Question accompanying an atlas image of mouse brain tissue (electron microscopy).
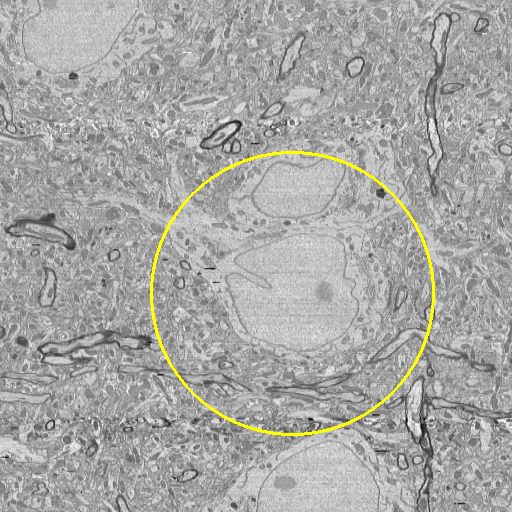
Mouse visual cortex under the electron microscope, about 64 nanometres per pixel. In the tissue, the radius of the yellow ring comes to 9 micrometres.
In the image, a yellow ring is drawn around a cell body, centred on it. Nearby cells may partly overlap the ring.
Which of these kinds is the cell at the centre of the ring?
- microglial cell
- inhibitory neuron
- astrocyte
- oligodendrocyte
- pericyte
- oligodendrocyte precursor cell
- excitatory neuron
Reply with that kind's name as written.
excitatory neuron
